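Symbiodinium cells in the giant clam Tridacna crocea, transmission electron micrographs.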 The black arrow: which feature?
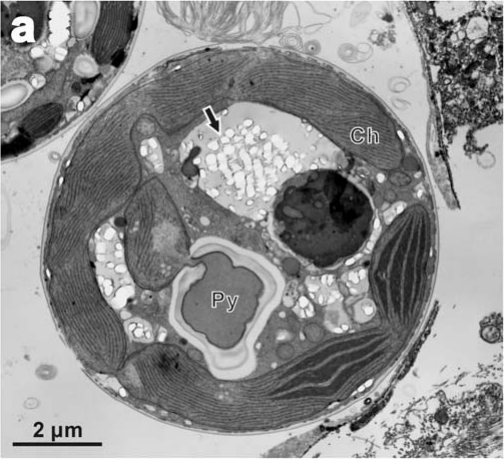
Crystalline clusters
